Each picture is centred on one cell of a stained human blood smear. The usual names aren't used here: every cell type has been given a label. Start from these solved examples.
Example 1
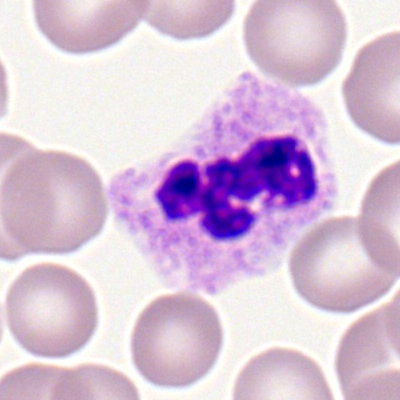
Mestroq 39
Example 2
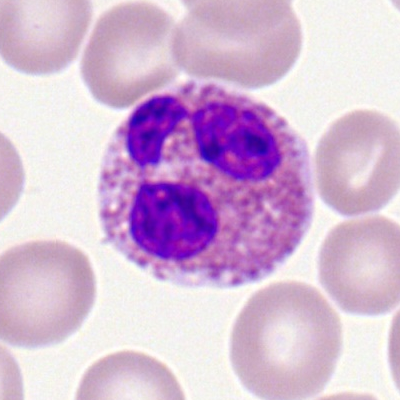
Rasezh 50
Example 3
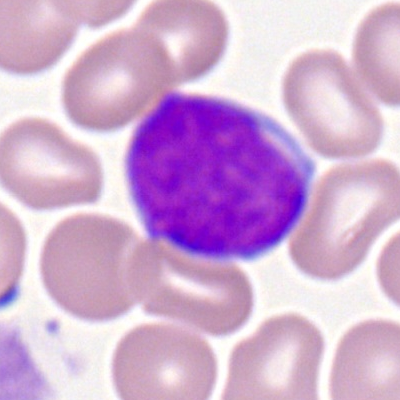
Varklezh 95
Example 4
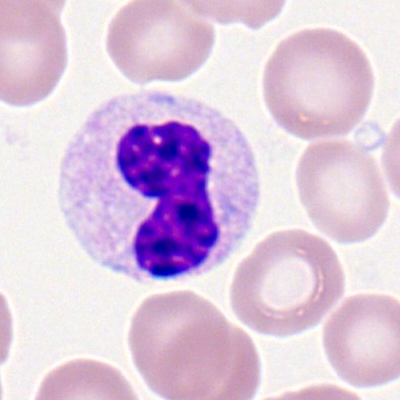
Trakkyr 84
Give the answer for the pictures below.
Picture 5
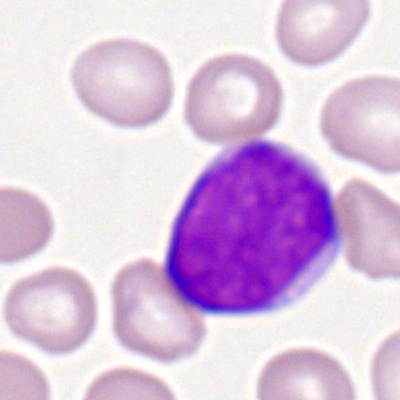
Varklezh 95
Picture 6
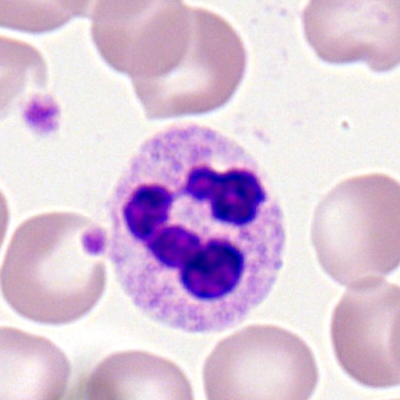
Mestroq 39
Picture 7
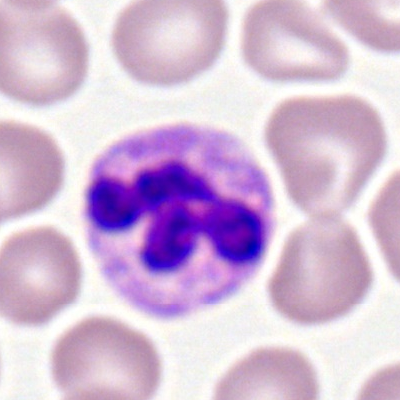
Mestroq 39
